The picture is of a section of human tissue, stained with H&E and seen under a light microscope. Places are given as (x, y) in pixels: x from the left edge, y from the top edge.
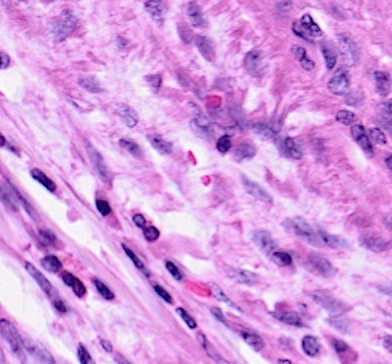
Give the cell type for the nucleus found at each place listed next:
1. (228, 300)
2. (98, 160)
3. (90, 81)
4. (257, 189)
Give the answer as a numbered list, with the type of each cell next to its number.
1. endothelial cell
2. fibroblast
3. fibroblast
4. fibroblast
